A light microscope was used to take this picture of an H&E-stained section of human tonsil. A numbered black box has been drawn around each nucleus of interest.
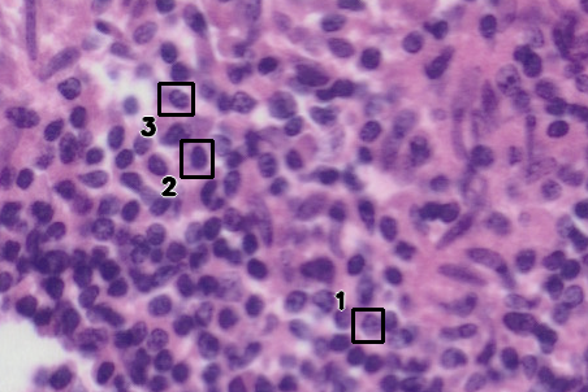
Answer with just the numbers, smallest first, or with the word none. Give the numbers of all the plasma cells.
2, 3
